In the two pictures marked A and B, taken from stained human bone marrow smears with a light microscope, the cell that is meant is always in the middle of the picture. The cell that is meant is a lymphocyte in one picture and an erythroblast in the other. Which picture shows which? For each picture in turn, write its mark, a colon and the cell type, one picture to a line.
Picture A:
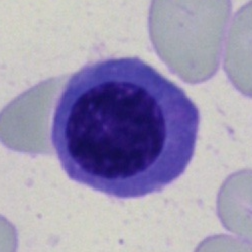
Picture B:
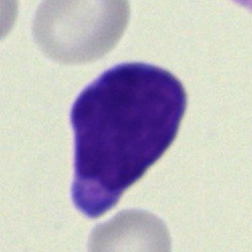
A: erythroblast
B: lymphocyte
